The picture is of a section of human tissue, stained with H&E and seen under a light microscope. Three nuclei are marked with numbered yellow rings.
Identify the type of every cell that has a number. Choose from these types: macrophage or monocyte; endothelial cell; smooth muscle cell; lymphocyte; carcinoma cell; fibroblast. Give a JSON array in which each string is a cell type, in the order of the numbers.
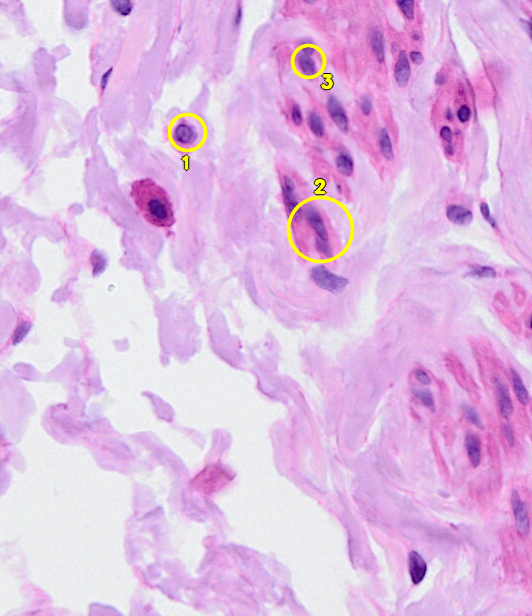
["macrophage or monocyte", "smooth muscle cell", "smooth muscle cell"]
